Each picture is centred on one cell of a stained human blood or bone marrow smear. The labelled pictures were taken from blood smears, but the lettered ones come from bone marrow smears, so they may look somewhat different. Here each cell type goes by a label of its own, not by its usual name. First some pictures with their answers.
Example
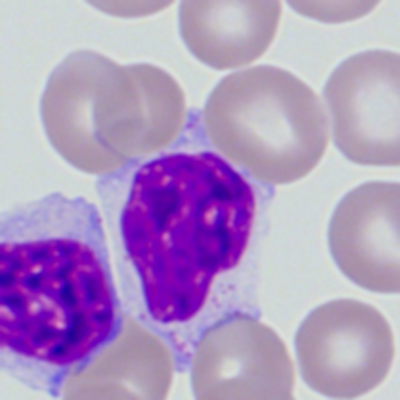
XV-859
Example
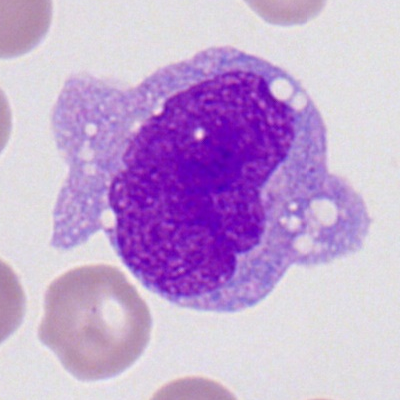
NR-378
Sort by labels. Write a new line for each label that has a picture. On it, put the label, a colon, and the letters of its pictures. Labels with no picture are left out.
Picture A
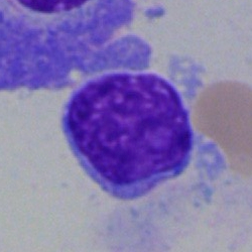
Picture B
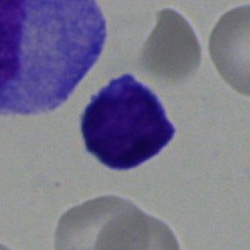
XV-859: A, B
